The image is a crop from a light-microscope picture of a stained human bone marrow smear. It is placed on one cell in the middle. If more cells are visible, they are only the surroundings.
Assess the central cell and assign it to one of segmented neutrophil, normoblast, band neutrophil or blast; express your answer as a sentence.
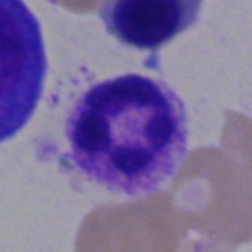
In the centre of this crop there is a segmented neutrophil.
